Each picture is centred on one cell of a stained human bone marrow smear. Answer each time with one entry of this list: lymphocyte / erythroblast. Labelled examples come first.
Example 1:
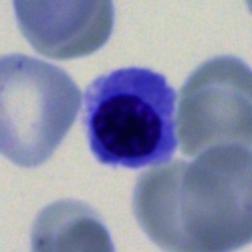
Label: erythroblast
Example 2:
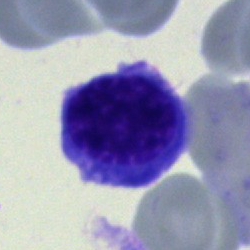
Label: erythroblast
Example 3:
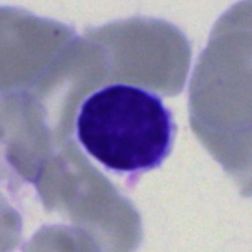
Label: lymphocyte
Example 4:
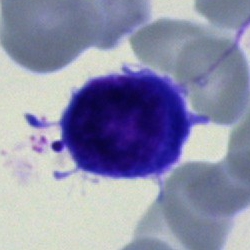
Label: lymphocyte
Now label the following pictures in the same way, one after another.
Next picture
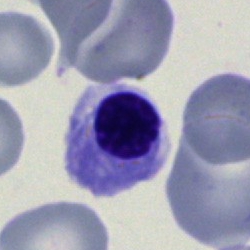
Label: erythroblast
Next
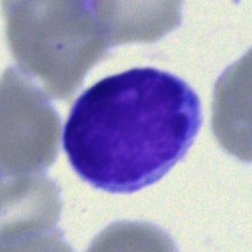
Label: lymphocyte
